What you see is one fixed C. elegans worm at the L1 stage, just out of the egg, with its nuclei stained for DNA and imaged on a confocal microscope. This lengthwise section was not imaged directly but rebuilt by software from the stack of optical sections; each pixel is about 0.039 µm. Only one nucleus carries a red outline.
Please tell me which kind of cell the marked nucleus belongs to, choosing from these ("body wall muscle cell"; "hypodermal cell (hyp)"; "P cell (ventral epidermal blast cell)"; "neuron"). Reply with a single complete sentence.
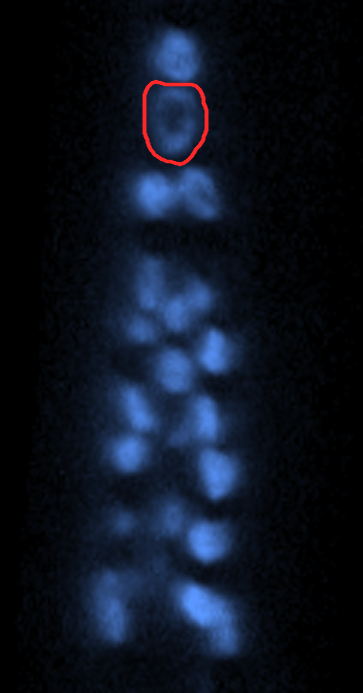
The cell with the marked nucleus is a hypodermal cell (hyp).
